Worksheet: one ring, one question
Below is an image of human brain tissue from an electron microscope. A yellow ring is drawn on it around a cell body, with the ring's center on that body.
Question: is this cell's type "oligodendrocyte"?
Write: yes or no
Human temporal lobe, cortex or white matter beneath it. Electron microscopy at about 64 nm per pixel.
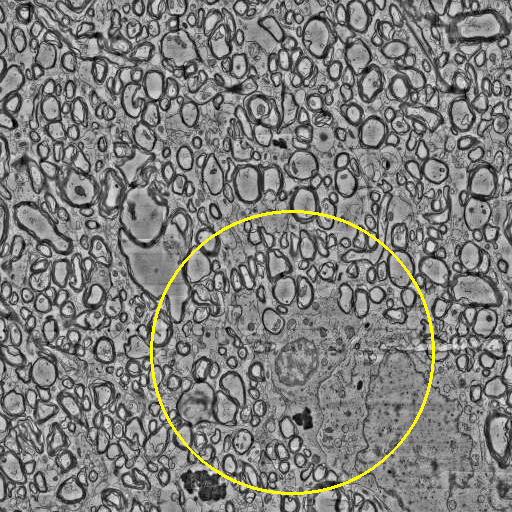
yes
